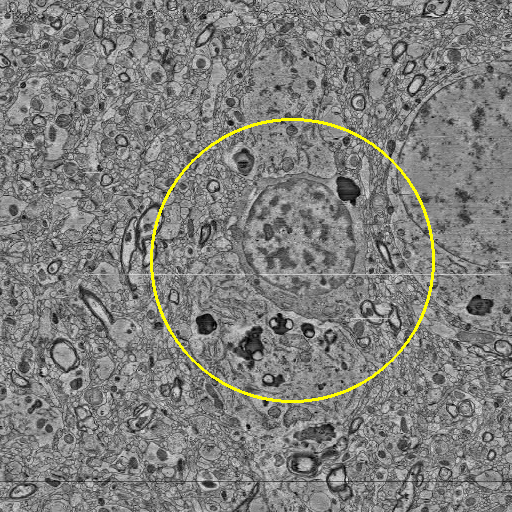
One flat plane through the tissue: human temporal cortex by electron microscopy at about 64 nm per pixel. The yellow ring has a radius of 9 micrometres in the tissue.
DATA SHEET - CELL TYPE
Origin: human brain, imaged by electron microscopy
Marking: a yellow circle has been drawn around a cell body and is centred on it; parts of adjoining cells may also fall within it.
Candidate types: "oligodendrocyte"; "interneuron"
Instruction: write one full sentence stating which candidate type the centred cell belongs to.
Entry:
The cell body at the centre of the yellow ring in this micrograph belongs to an oligodendrocyte.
